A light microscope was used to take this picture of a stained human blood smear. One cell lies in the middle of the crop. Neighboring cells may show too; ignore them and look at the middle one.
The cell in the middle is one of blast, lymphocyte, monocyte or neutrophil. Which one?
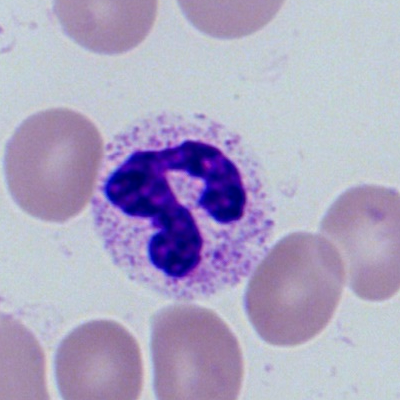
neutrophil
